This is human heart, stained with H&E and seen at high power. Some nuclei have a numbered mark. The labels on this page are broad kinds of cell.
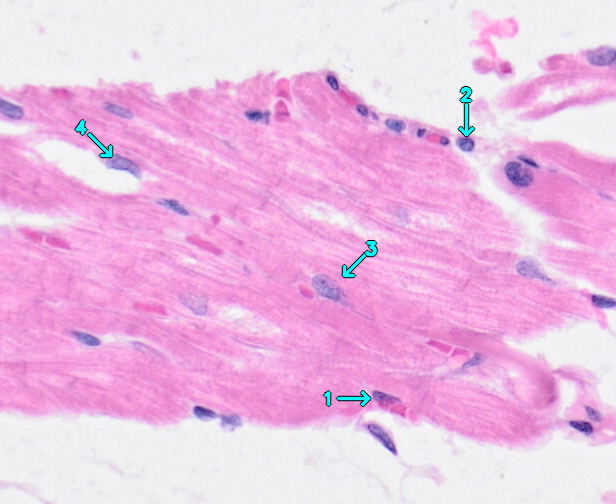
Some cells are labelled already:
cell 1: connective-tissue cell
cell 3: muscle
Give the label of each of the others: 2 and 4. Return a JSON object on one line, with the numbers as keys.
{"2": "connective-tissue cell", "4": "muscle"}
